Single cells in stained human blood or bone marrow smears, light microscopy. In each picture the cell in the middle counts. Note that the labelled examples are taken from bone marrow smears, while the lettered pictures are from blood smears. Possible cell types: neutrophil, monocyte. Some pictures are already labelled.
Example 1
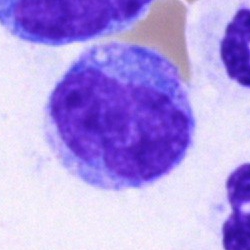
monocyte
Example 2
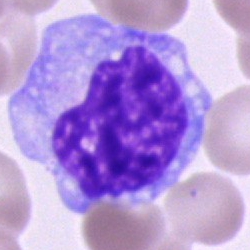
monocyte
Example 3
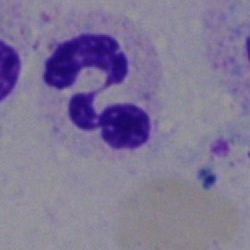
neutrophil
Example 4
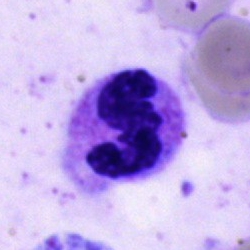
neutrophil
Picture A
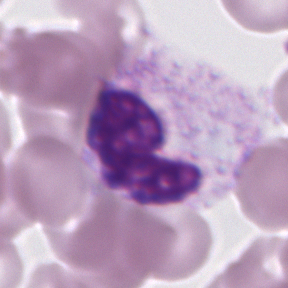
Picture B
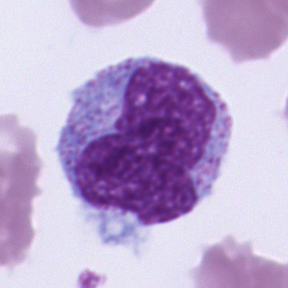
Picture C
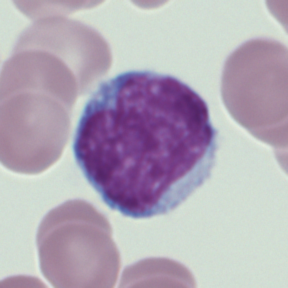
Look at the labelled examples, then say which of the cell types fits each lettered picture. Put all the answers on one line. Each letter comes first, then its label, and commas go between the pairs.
A neutrophil, B monocyte, C monocyte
